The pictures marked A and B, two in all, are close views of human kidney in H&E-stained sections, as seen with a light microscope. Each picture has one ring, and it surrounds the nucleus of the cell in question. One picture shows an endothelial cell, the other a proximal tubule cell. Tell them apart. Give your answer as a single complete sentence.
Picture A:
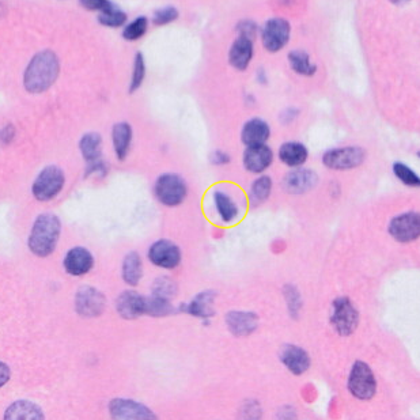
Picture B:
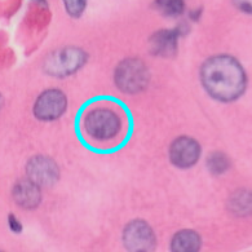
Picture A shows an endothelial cell and picture B shows a proximal tubule cell.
